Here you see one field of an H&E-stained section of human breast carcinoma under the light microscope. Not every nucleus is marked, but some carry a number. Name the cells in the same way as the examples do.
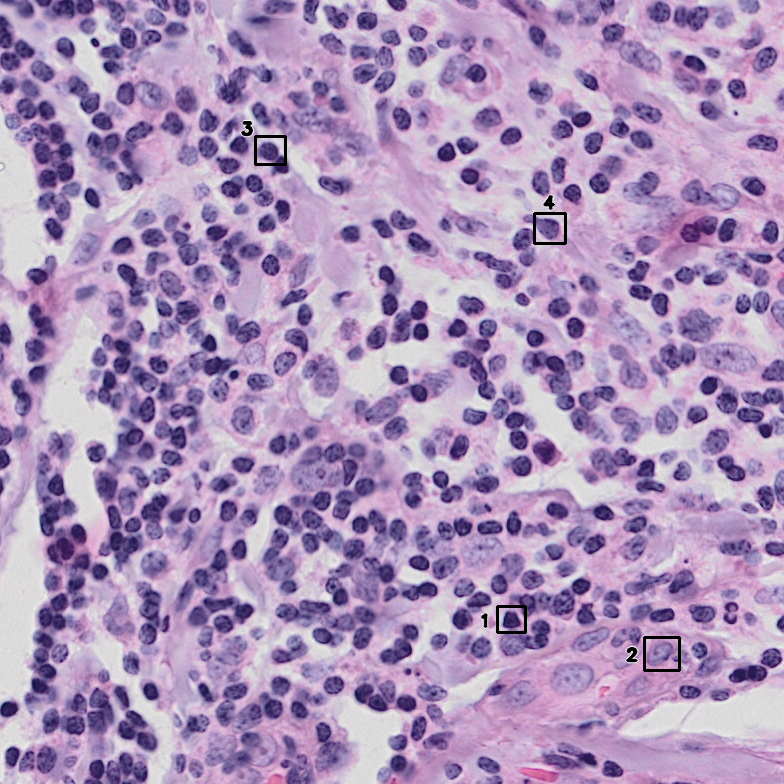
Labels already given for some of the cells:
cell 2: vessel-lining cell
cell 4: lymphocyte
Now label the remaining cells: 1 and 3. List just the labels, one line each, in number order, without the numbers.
lymphocyte
lymphocyte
